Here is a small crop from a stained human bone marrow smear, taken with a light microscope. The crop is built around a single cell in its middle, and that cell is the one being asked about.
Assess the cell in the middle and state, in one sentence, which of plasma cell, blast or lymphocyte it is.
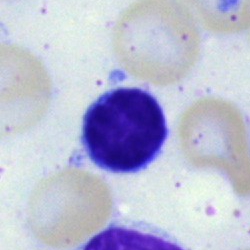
The centrally placed cell is classified as a lymphocyte.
